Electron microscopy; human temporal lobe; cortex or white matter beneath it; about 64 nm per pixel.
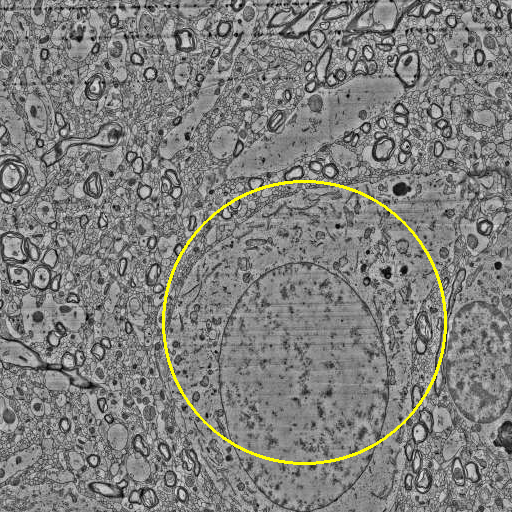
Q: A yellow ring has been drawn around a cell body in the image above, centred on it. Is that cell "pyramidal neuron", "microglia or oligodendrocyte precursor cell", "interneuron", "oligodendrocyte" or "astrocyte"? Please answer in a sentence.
The ring surrounds the cell body of a pyramidal neuron.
